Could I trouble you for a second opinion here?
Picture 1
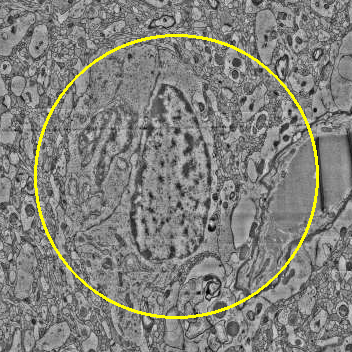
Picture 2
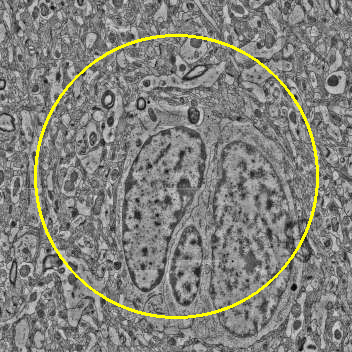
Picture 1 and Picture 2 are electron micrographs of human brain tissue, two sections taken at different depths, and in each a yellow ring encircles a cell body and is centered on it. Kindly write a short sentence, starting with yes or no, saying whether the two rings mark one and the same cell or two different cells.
No, two separate cells are outlined by these yellow rings.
